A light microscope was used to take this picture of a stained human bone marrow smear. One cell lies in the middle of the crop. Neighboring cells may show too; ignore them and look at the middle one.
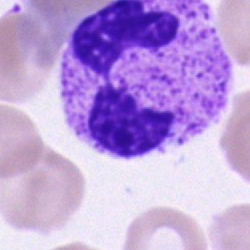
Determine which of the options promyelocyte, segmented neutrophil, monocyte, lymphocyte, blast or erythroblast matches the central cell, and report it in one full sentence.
By classification, the middle cell of this crop is a segmented neutrophil.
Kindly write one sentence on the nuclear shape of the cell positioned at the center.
In short, this nucleus is segmented into two or more parts.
